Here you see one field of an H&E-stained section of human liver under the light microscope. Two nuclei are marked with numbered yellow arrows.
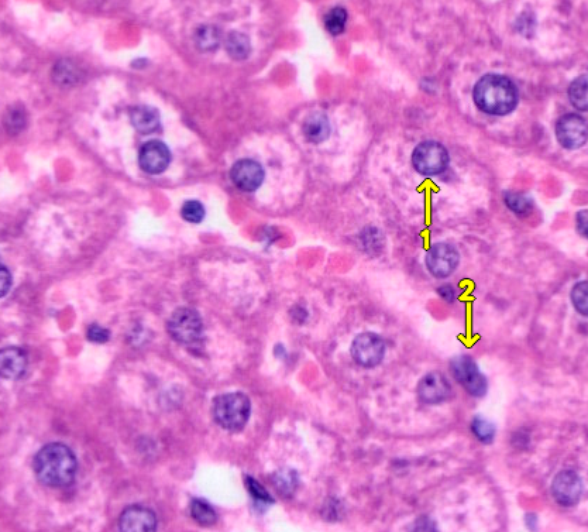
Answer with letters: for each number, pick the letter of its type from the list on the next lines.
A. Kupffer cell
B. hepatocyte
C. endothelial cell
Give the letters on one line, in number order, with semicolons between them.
B; C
